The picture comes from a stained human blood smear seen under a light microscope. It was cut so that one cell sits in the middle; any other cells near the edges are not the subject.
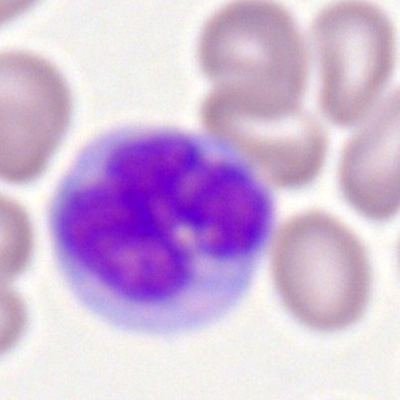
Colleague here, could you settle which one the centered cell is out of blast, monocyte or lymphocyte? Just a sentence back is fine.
The central element of this crop is a cell, namely a monocyte.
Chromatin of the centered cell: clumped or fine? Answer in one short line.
In this nucleus, the chromatin is arranged in coarse clumps.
